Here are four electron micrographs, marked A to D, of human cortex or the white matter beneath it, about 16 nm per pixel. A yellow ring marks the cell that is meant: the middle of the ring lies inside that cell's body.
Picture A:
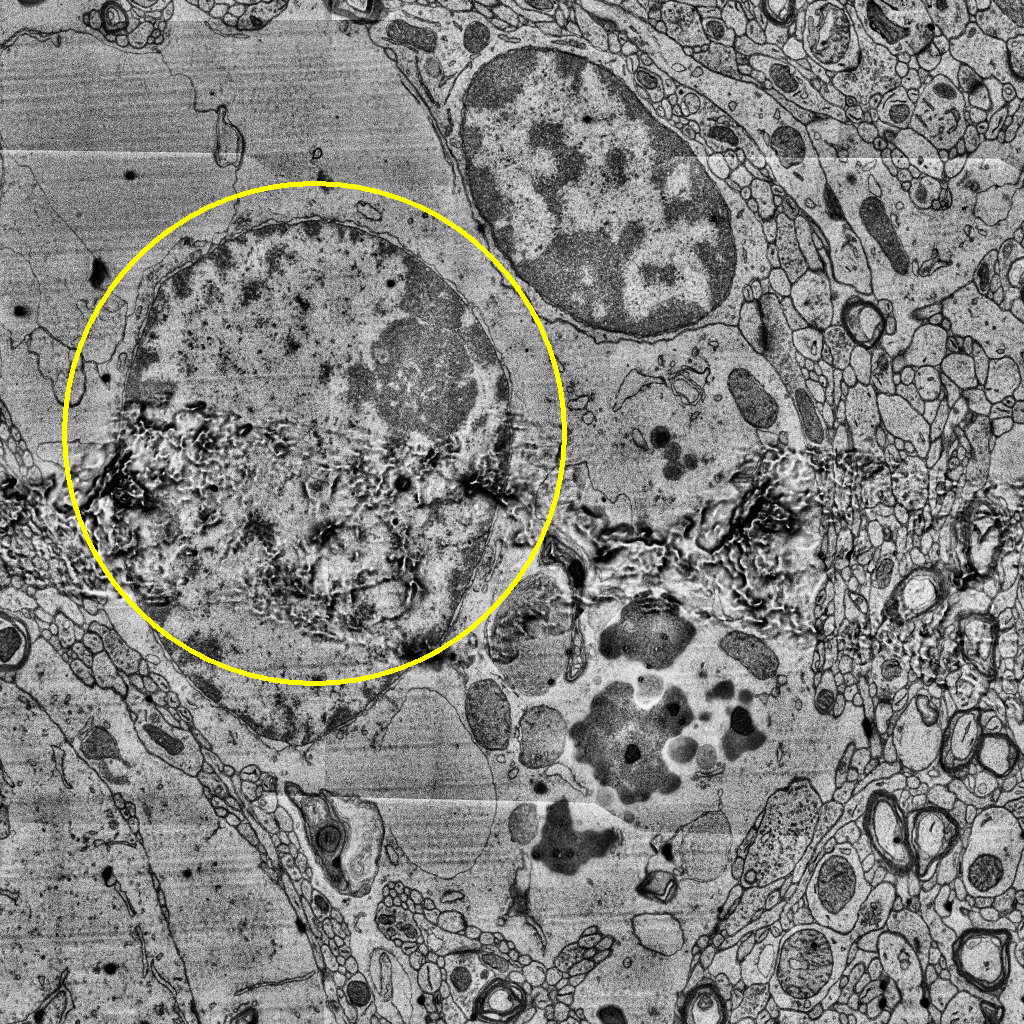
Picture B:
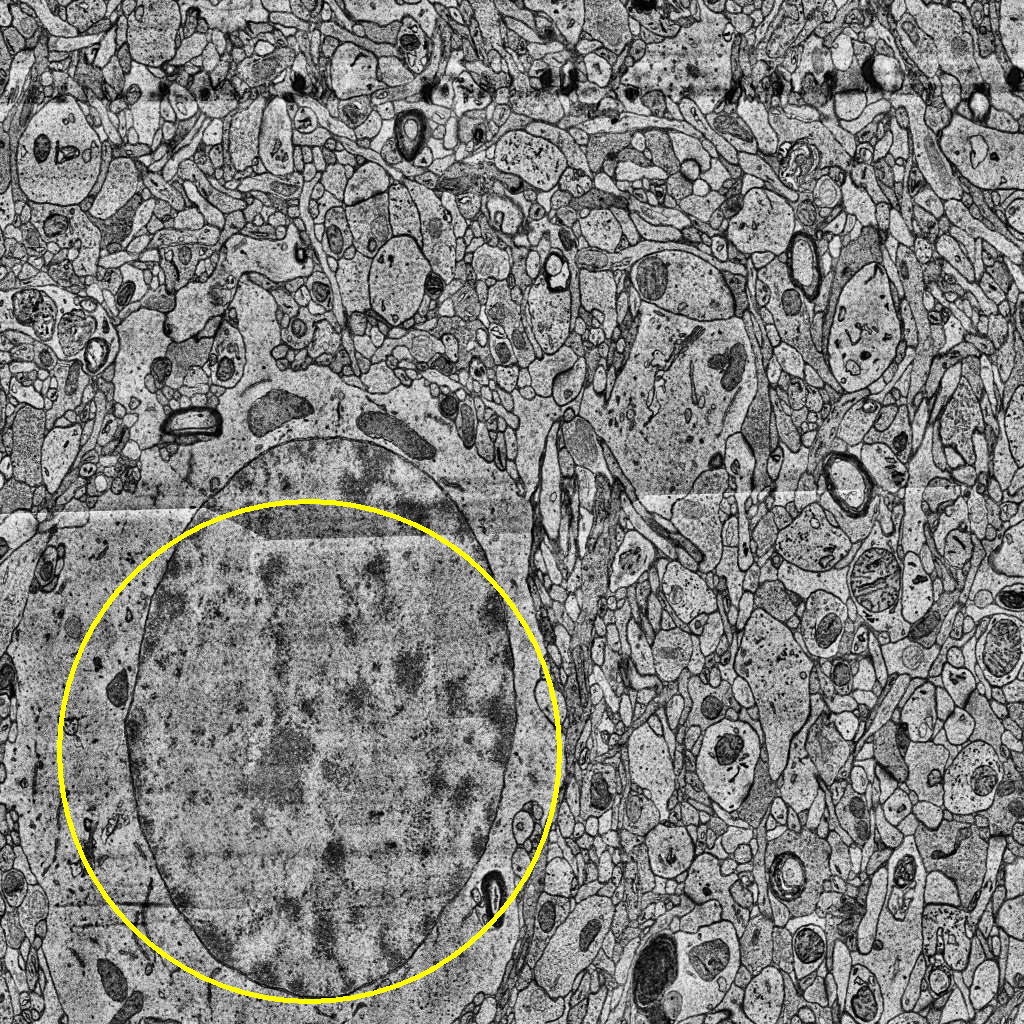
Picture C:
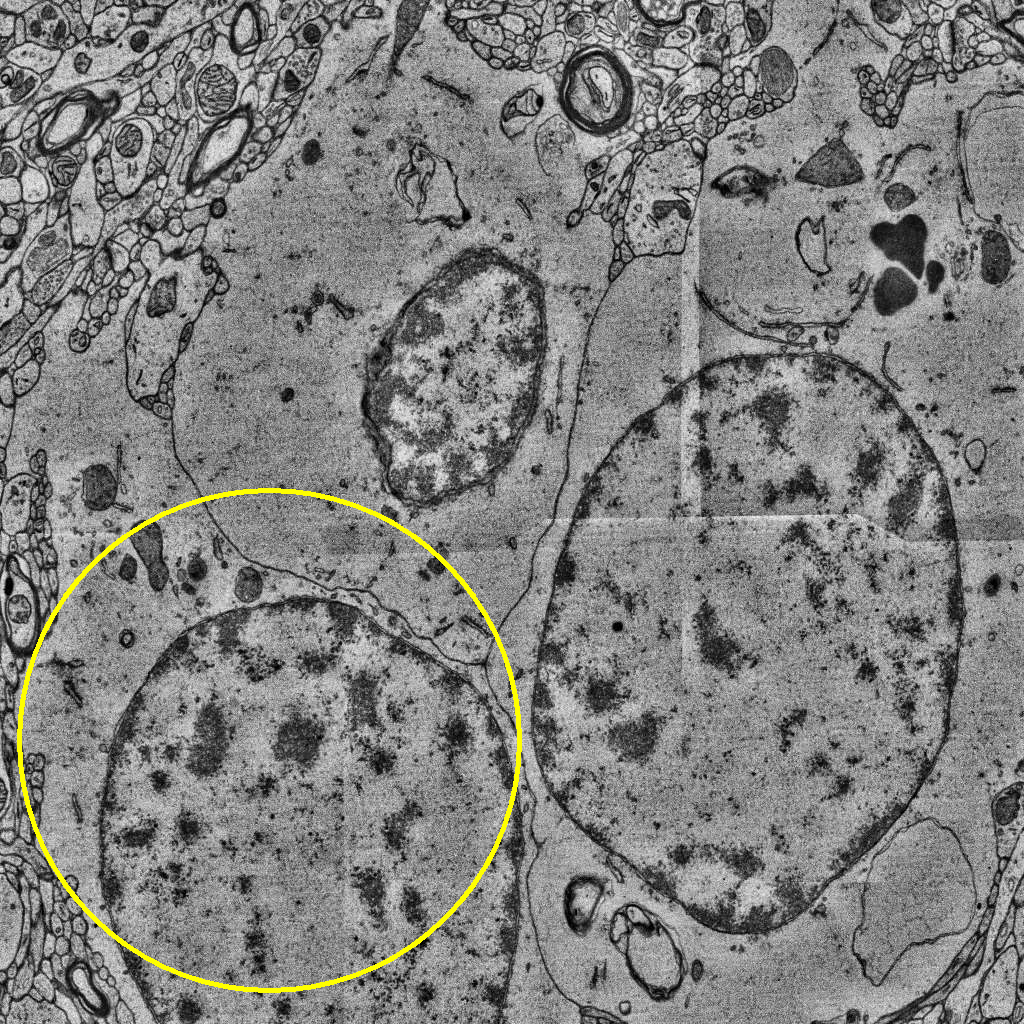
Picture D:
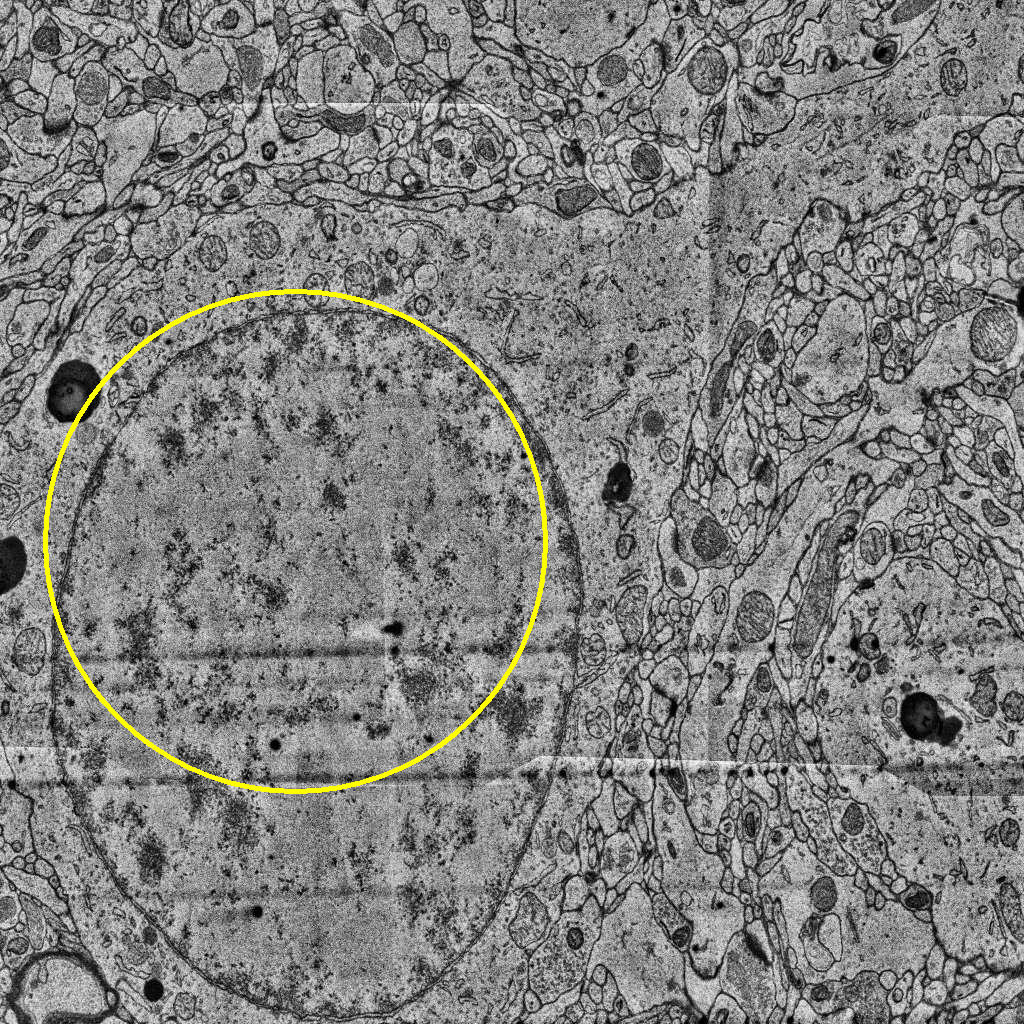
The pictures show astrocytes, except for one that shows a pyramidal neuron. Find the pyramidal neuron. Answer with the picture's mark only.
D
